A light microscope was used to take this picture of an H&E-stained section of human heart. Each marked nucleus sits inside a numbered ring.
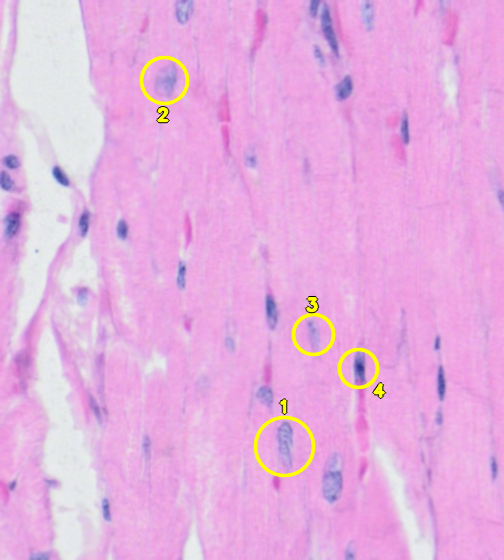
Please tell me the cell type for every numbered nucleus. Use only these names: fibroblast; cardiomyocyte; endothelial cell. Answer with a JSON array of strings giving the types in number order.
["cardiomyocyte", "cardiomyocyte", "cardiomyocyte", "endothelial cell"]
